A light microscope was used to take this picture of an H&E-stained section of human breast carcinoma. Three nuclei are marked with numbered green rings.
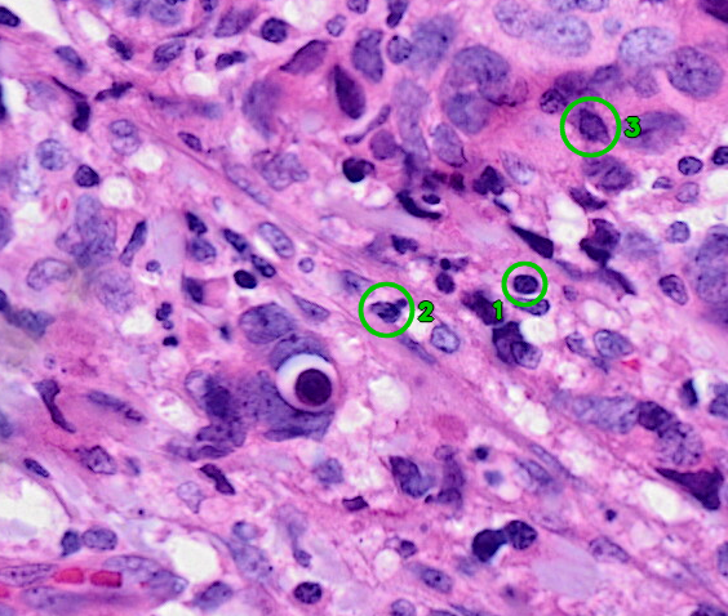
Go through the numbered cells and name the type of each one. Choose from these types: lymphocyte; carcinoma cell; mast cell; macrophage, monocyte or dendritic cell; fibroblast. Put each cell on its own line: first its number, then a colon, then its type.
1: lymphocyte
2: lymphocyte
3: carcinoma cell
